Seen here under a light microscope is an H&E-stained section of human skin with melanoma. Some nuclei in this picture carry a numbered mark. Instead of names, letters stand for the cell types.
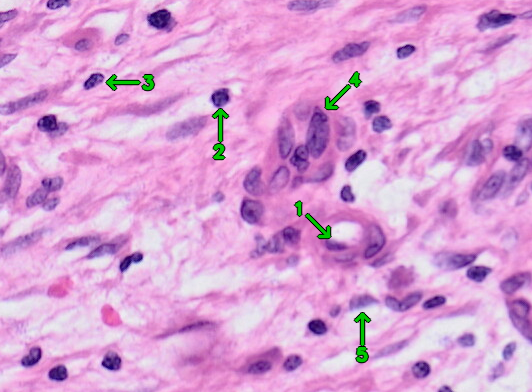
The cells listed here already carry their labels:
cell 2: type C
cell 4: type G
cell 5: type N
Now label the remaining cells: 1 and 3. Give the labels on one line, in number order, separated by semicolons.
type G; type C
